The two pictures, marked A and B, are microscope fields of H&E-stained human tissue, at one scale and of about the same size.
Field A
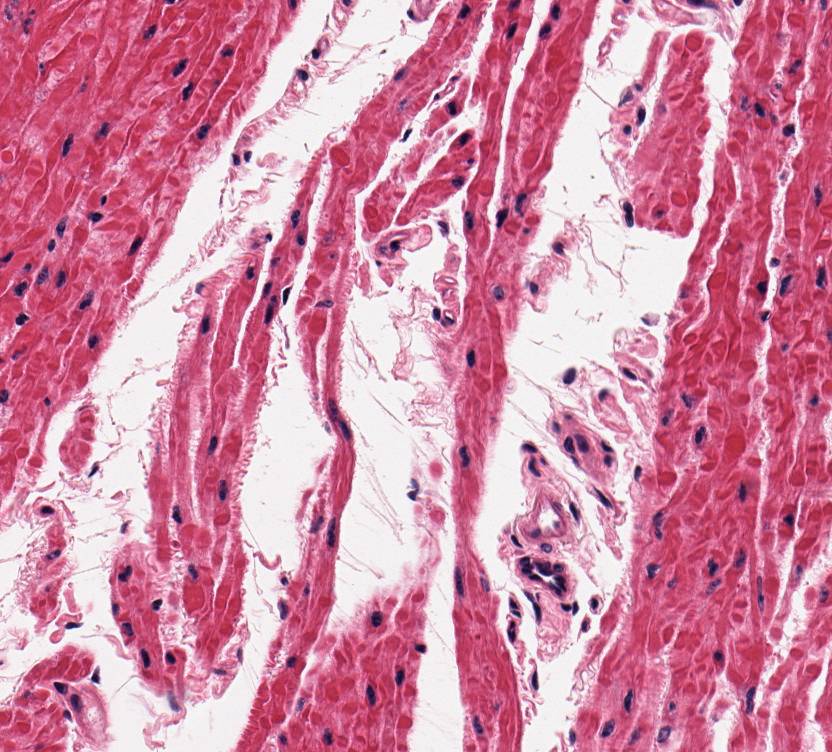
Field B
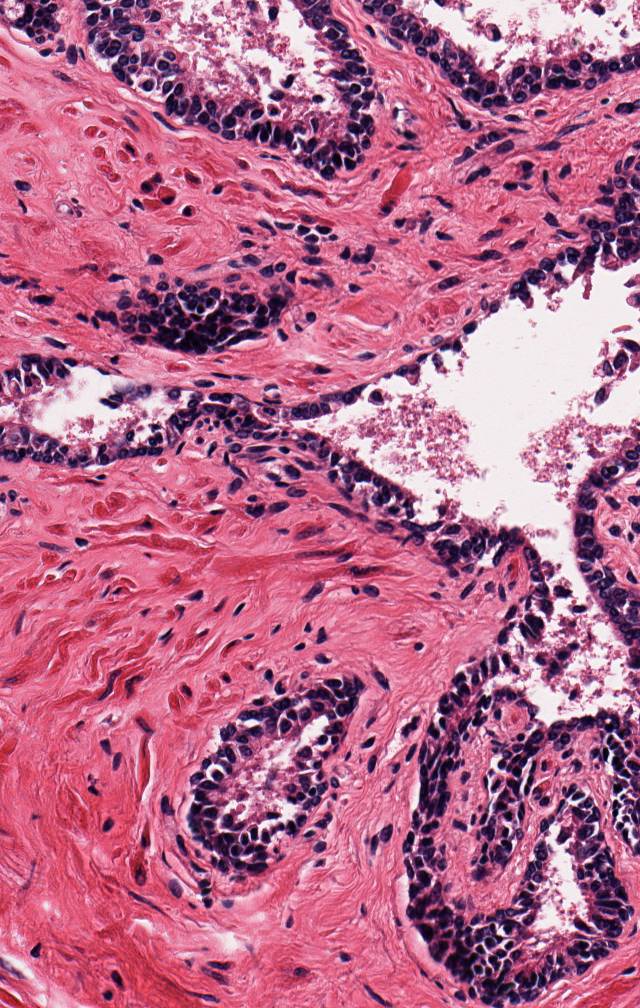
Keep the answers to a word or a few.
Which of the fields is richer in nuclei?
B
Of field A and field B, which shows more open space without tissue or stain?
A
